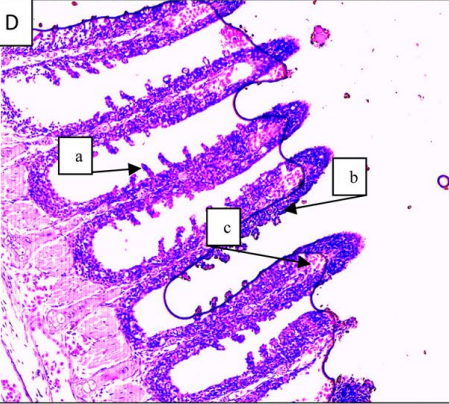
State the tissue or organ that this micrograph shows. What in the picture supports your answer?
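Parallel finger-like filaments projecting from a common base. So: gill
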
